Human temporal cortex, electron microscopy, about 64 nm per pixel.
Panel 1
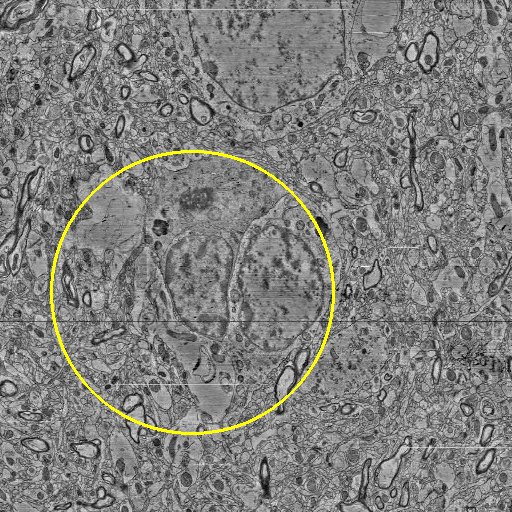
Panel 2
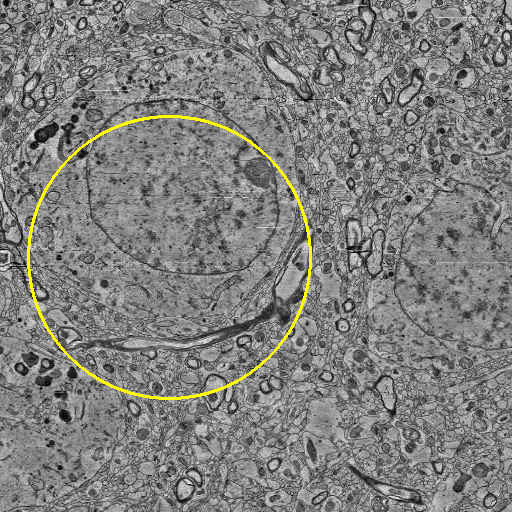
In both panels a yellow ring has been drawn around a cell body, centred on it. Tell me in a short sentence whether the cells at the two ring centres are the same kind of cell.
No, they are two kinds of cell.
